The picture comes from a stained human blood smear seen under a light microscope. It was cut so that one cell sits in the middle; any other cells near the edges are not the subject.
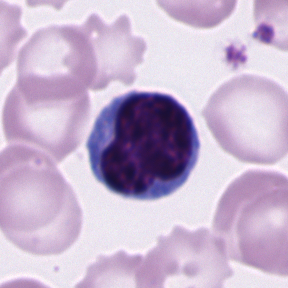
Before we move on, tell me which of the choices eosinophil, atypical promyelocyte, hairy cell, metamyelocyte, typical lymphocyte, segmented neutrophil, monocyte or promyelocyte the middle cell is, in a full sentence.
Regarding the central cell, it is a typical lymphocyte.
